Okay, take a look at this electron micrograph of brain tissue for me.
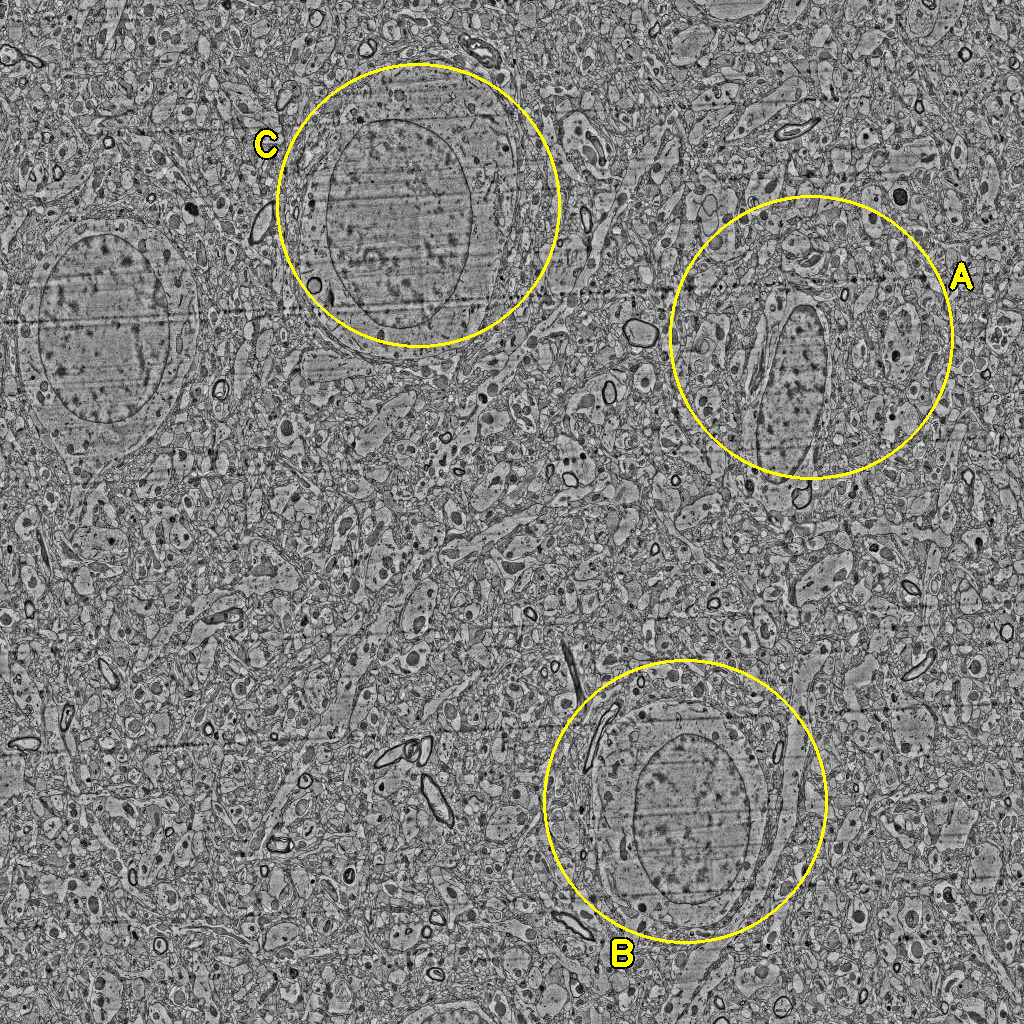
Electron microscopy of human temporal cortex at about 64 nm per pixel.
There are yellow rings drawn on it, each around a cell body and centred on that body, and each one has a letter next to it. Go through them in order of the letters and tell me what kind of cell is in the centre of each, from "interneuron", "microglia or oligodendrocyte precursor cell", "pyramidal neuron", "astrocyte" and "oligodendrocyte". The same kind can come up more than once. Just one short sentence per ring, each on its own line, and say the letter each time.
In the centre of ring A there's a microglial cell or oligodendrocyte precursor cell.
In the centre of ring B there's a pyramidal neuron.
In the centre of ring C there's a pyramidal neuron.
